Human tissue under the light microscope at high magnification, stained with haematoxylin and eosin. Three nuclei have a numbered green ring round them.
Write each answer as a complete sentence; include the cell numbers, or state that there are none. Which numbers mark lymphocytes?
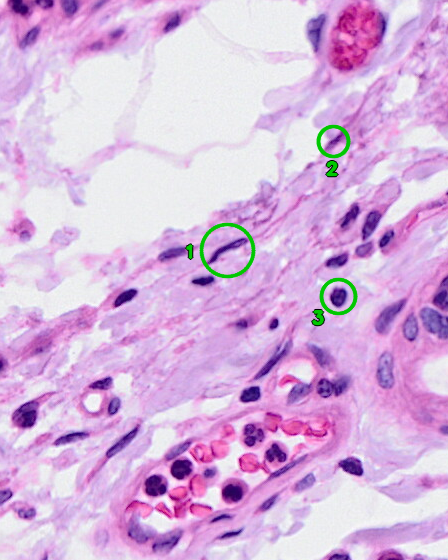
The numbered cells include exactly one that is a lymphocyte, which is cell 3.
